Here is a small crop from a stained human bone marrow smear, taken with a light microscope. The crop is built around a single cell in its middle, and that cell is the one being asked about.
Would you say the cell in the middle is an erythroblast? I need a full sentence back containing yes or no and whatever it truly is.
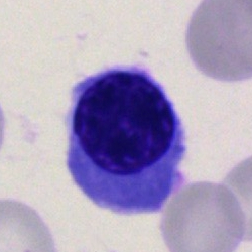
Yes, that middle cell in the crop is an erythroblast.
